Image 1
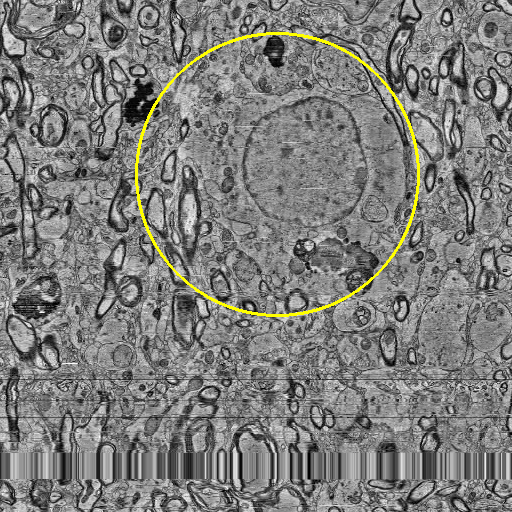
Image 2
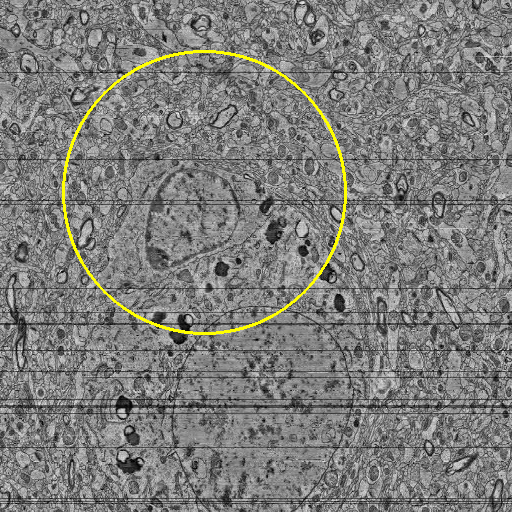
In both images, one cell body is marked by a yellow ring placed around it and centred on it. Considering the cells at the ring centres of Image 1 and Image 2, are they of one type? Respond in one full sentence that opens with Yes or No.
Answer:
Yes, a single type applies to the ring-centred cells of both Image 1 and Image 2.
